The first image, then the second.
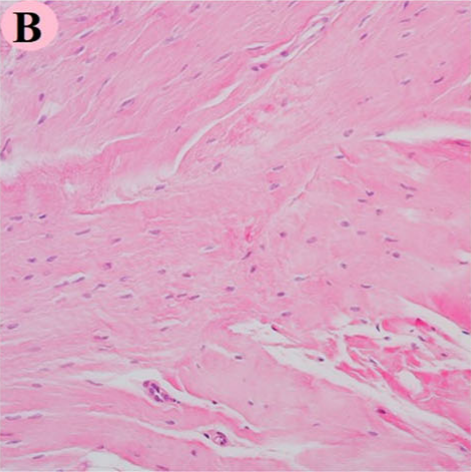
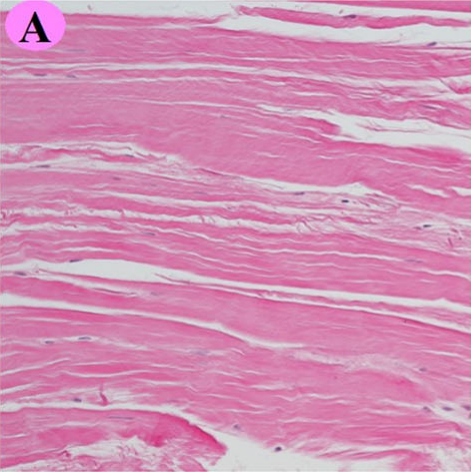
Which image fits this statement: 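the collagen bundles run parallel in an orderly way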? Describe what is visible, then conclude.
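The second image. First image: pink fibers run in varying directions with irregular bundles. Second image: pink fiber bands run side by side in one direction across the field.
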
